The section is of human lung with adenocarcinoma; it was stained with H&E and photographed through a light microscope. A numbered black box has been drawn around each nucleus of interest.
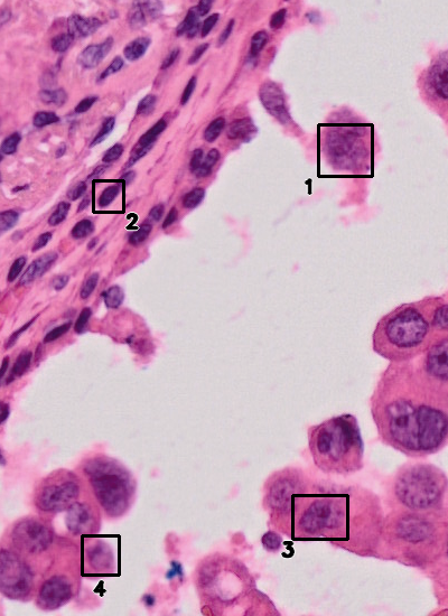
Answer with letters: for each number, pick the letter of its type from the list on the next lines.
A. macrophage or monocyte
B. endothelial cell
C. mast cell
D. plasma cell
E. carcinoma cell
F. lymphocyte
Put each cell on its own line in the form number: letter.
1: E
2: F
3: E
4: E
